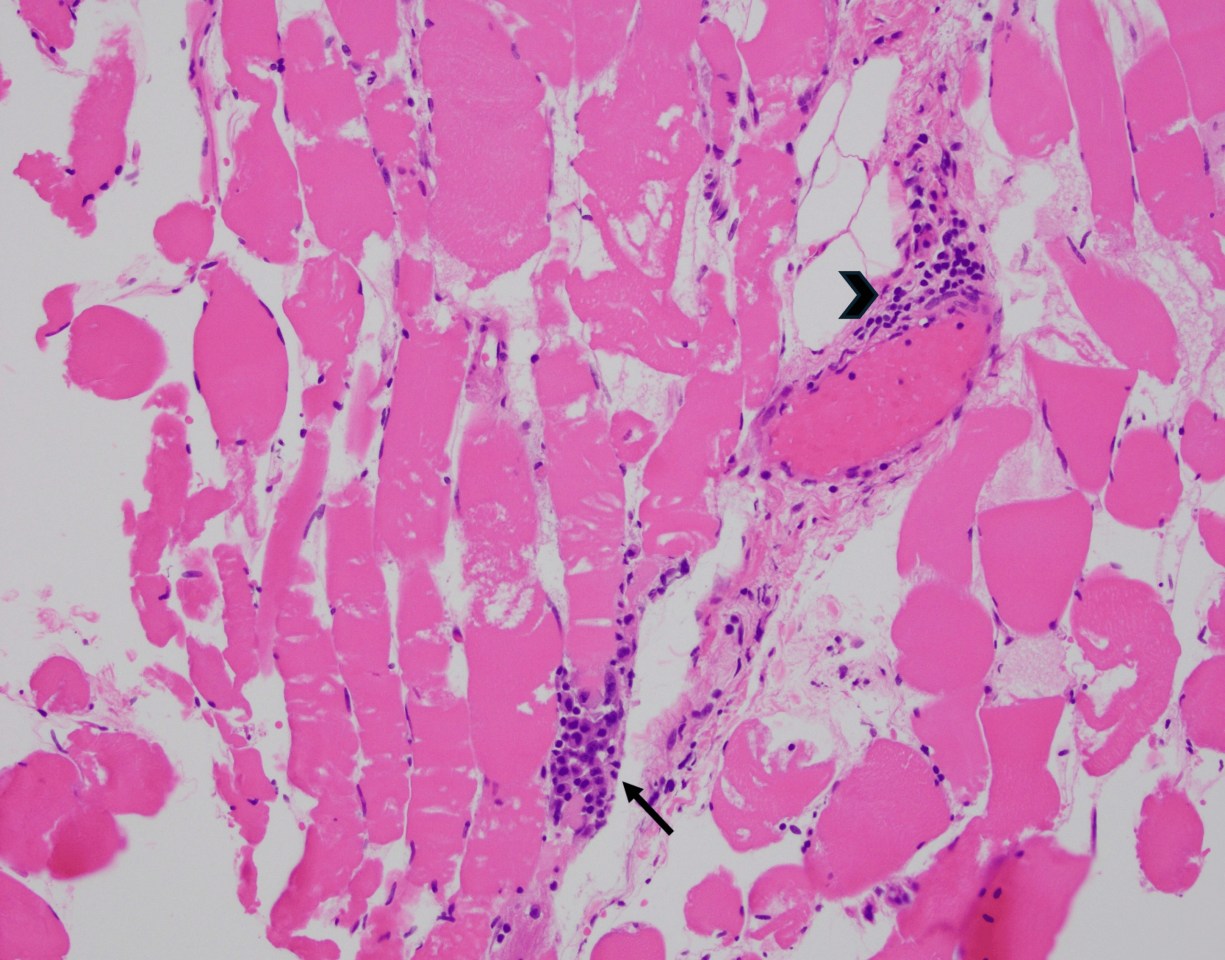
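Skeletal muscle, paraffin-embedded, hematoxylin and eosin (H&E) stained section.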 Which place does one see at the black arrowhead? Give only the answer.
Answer: Perivascular.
